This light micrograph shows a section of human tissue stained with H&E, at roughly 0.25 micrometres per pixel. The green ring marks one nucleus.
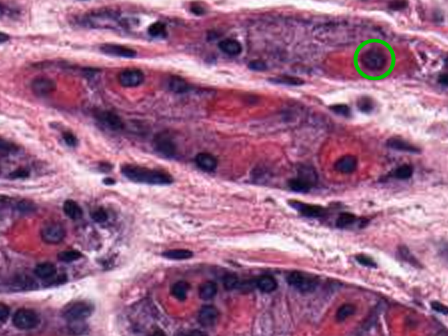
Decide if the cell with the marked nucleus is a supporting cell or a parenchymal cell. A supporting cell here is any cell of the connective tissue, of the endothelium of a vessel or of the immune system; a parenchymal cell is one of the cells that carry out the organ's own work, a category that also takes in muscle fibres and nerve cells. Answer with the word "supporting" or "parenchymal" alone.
parenchymal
